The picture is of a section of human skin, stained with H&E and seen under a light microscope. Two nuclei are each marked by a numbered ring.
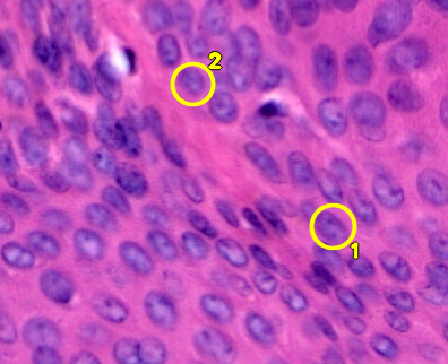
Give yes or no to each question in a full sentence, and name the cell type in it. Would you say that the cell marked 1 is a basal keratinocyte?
No, cell 1 represents a suprabasal keratinocyte rather than a basal keratinocyte.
